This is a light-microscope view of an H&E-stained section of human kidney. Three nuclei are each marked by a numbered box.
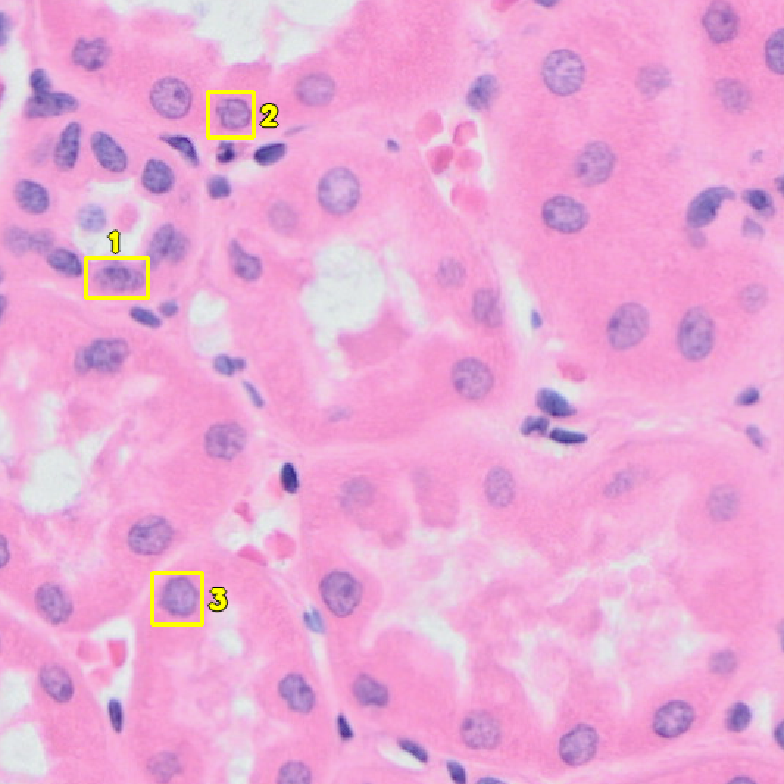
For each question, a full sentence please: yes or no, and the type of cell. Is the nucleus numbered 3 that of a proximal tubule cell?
Yes, the cell carrying label 3 is a proximal tubule cell.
